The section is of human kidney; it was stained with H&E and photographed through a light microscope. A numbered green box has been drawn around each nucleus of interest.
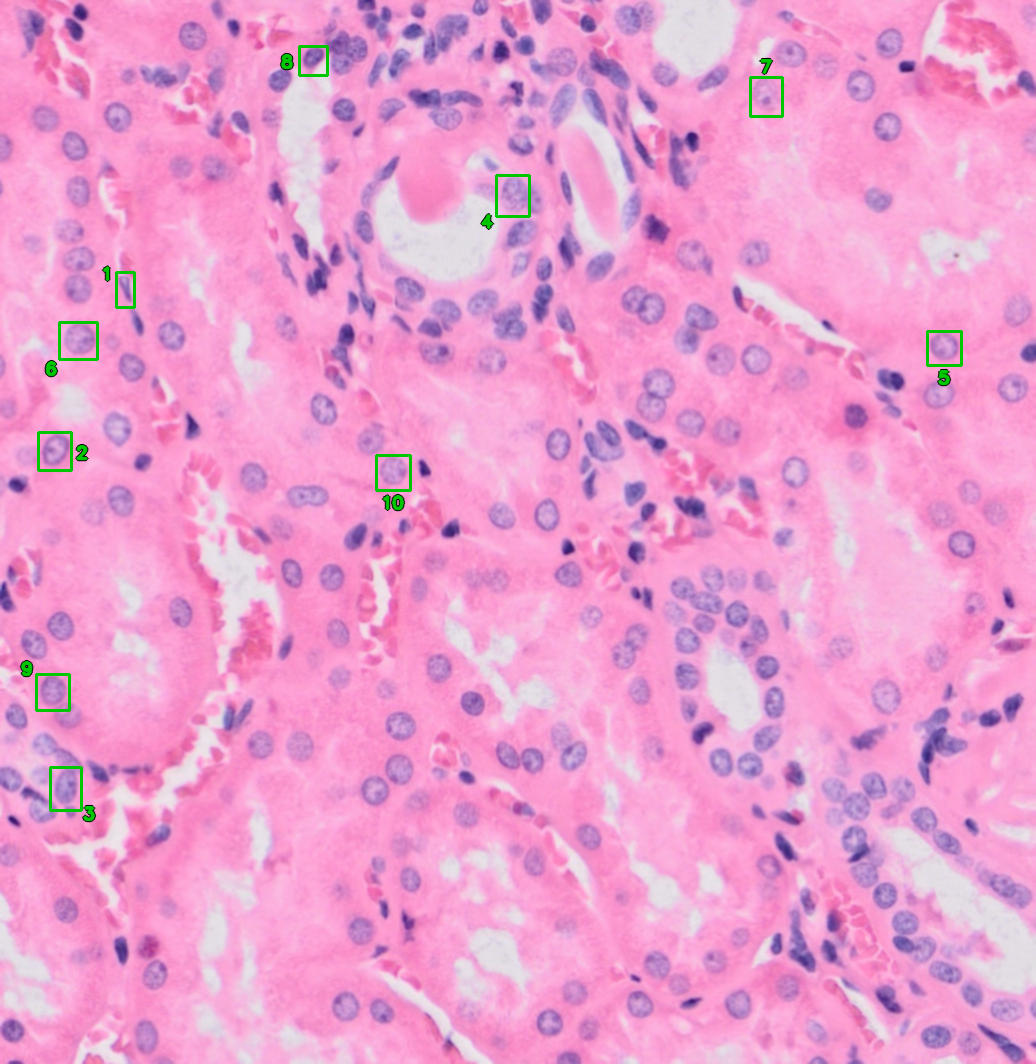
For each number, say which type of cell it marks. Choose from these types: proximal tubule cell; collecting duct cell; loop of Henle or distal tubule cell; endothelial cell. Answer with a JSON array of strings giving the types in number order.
["endothelial cell", "proximal tubule cell", "collecting duct cell", "collecting duct cell", "proximal tubule cell", "proximal tubule cell", "proximal tubule cell", "loop of Henle or distal tubule cell", "proximal tubule cell", "proximal tubule cell"]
